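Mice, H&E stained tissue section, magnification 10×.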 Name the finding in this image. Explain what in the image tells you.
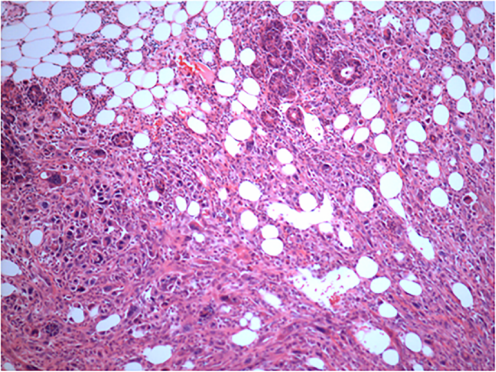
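Tumor cells are elongated and irregular, lying in disorganized sweeps rather than cohesive nests. The tumor cells infiltrate among many clear round fat cells. The answer: spindle cell tumor.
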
